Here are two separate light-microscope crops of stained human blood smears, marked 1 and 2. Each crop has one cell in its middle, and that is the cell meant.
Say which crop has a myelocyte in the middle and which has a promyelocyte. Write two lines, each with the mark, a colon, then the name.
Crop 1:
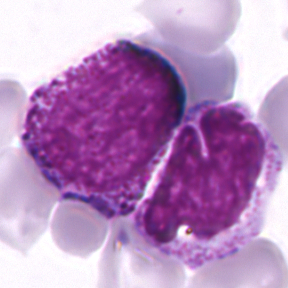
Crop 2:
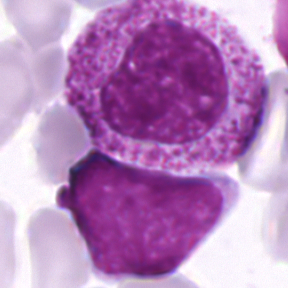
1: promyelocyte
2: myelocyte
